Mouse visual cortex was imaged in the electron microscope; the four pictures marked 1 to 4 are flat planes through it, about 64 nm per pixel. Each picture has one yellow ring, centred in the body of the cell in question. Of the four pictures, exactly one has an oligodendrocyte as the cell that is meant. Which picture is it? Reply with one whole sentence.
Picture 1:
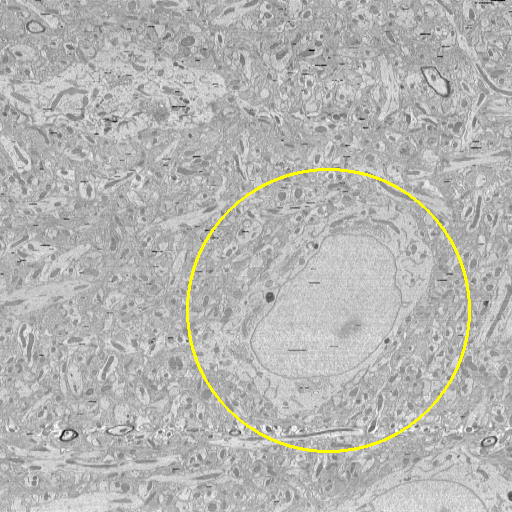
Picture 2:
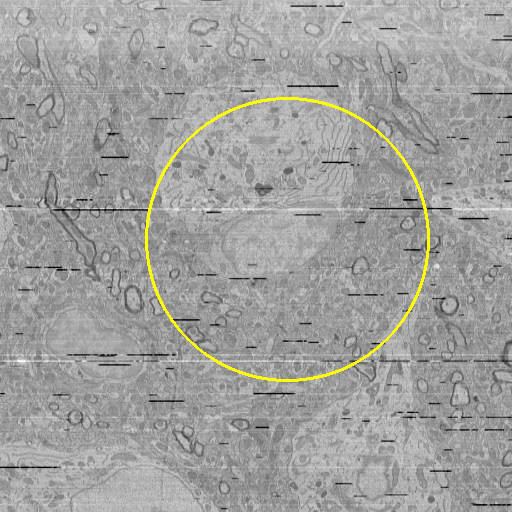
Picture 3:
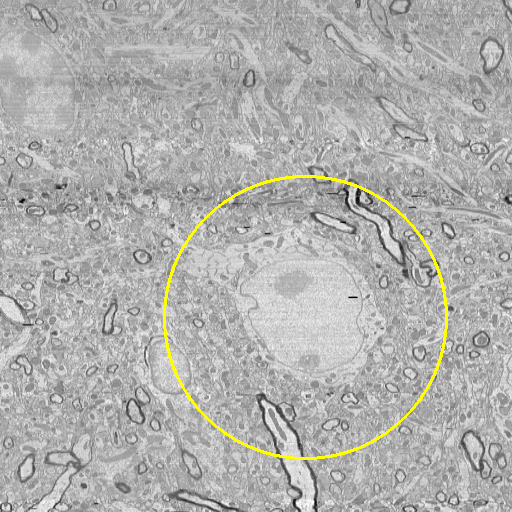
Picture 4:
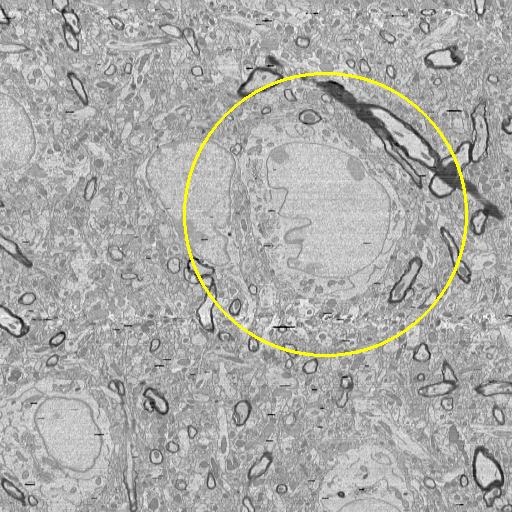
The oligodendrocyte is the one in picture 2.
